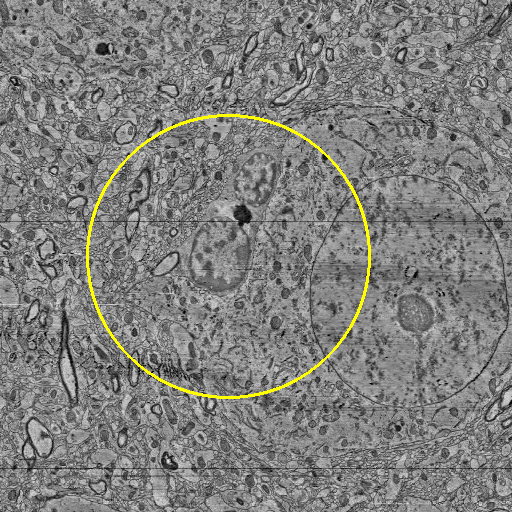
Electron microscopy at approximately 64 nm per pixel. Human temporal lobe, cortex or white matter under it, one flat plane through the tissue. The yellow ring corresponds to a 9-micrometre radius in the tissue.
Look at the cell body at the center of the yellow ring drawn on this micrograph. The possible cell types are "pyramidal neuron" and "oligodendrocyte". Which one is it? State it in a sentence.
The cell in the middle of the ring is an oligodendrocyte.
